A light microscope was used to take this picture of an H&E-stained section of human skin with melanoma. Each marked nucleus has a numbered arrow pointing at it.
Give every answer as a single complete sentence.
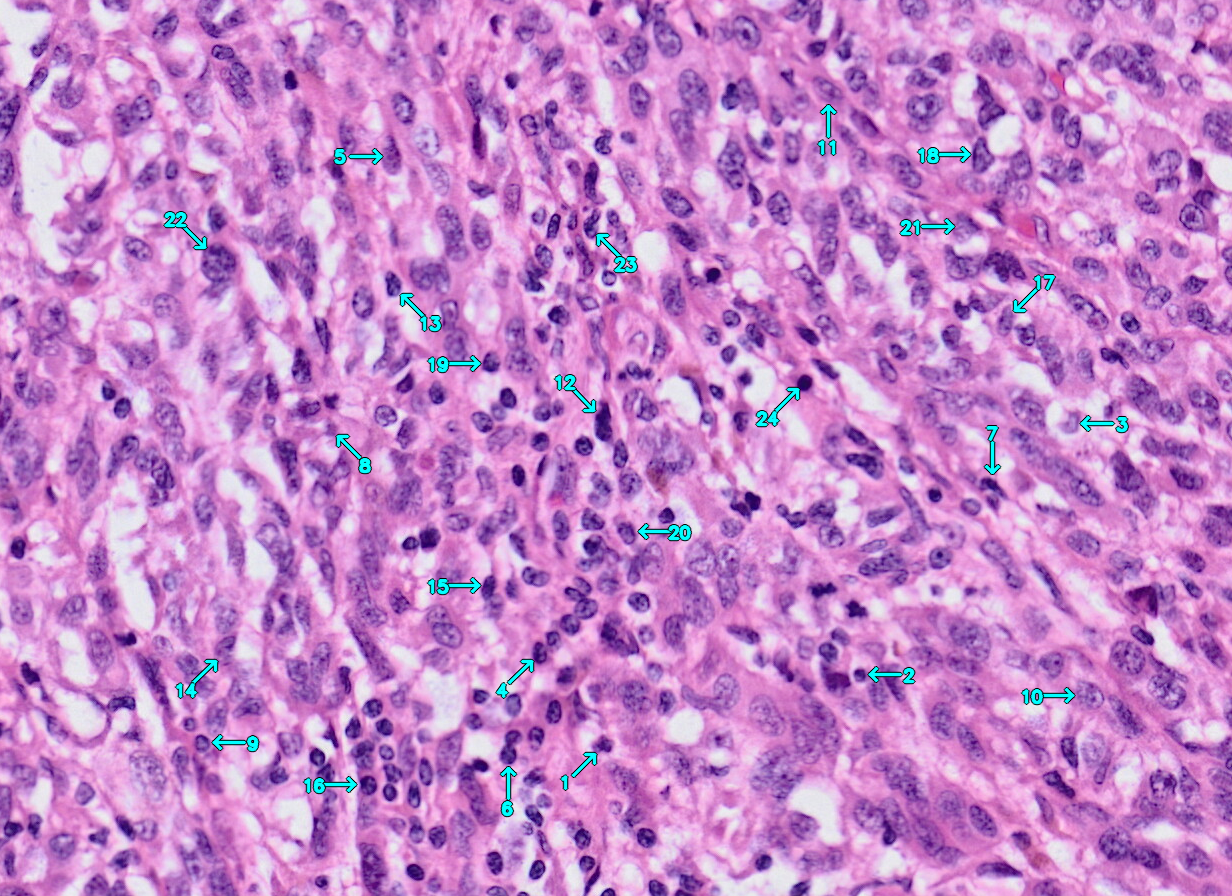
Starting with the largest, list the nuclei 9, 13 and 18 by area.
From largest to smallest, the order is 18, 13, 9.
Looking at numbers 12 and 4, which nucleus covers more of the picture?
Nucleus 12 covers more area, about 2.5 times as much as nucleus 4.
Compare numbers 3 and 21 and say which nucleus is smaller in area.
Nucleus 3 is the smaller one; nucleus 21 covers about 2 times its area.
